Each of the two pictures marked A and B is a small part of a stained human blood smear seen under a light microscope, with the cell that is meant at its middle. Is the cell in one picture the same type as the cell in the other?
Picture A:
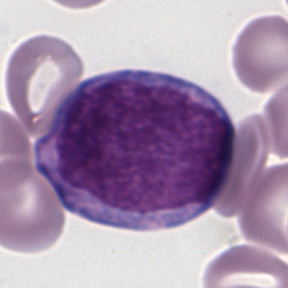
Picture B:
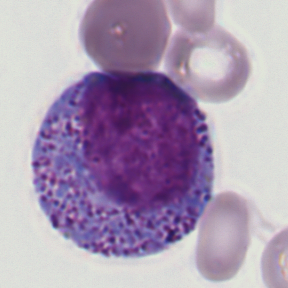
yes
